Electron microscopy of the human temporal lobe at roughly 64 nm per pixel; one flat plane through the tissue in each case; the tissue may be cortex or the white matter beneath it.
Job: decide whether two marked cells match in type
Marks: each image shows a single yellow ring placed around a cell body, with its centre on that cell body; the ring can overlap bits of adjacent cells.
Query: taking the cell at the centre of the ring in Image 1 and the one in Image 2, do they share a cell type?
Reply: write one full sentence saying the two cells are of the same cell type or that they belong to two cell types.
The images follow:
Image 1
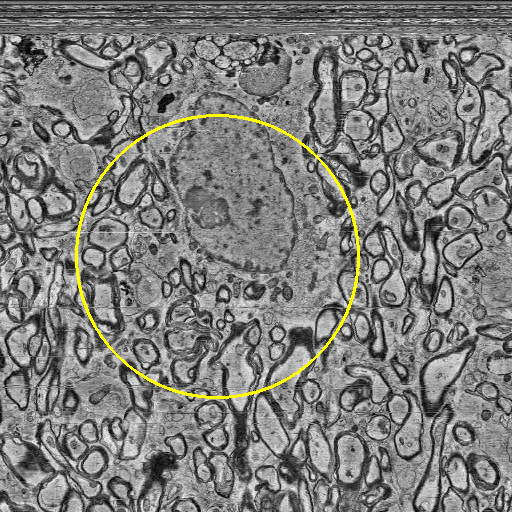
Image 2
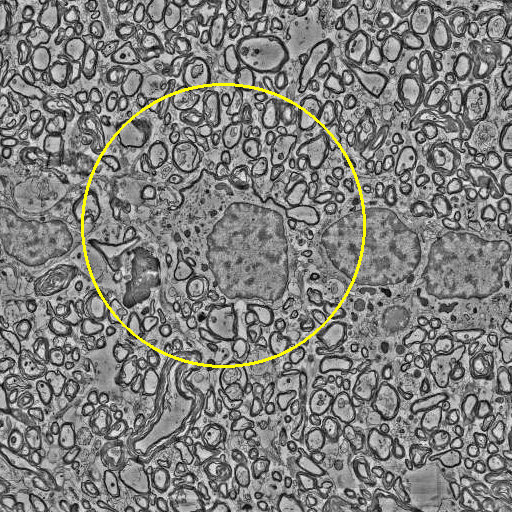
The cells at the ring centres in Image 1 and Image 2 belong to two cell types.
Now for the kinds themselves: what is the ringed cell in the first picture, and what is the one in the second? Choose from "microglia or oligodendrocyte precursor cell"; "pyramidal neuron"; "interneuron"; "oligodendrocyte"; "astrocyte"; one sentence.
Here the first cell is an astrocyte and the second cell is an oligodendrocyte.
